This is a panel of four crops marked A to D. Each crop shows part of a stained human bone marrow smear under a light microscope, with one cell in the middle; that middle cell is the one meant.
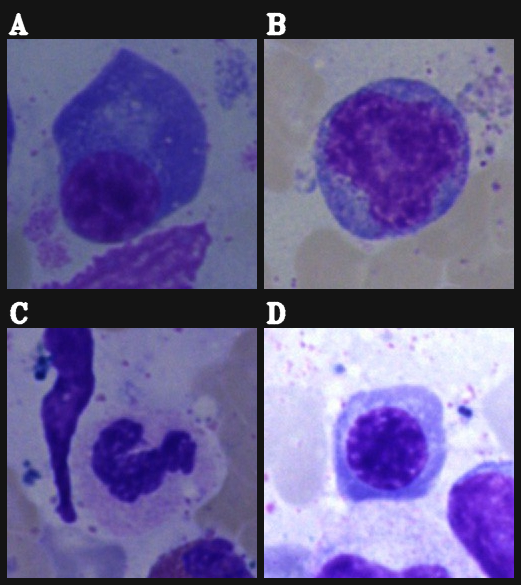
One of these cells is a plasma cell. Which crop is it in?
A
